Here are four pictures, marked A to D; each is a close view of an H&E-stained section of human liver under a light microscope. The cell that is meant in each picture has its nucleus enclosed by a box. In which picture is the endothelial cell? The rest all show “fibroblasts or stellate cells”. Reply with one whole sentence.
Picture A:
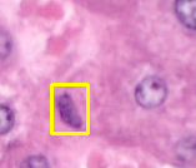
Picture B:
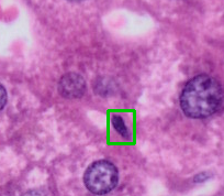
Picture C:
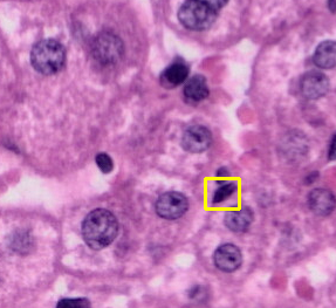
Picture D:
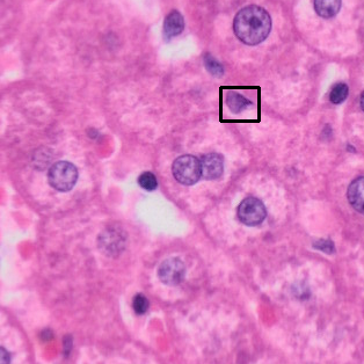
It is picture D that shows the endothelial cell.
